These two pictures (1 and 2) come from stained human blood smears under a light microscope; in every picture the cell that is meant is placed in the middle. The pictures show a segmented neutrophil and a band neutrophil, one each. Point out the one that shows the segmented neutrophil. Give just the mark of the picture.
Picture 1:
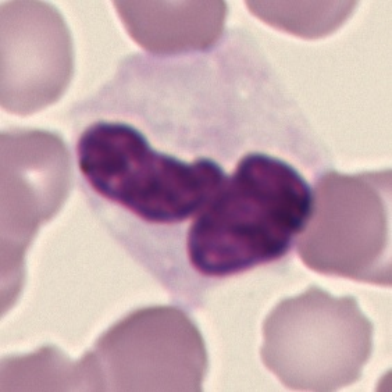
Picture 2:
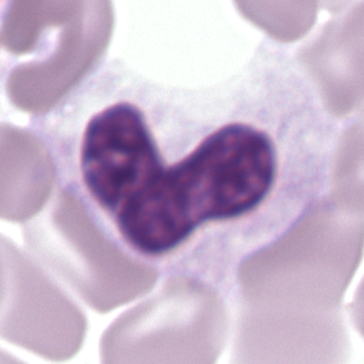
1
